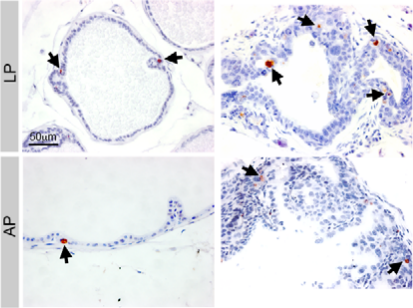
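On the left the glands are wide and lined by a thin, flattened epithelium, and arrows pick out single brown-red nuclei within that lining. On the right the epithelium is thick and multilayered, packed with blue nuclei. Arrows there point to several small, compact brown-red nuclei scattered through the epithelium.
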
